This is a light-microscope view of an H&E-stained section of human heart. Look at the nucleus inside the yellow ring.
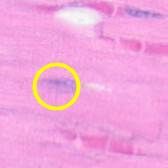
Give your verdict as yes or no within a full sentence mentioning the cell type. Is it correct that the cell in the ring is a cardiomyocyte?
Yes, classifying the cell in the ring as a cardiomyocyte is accurate.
